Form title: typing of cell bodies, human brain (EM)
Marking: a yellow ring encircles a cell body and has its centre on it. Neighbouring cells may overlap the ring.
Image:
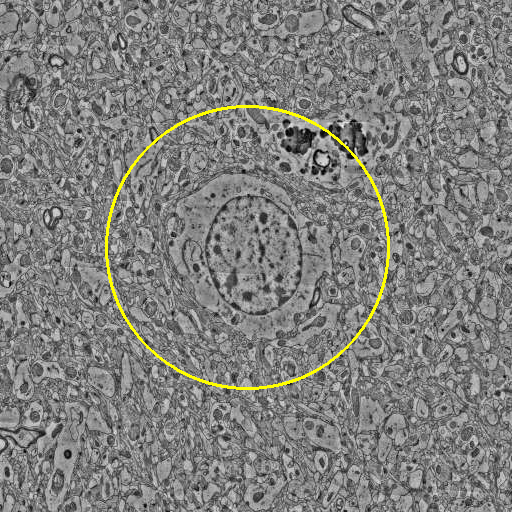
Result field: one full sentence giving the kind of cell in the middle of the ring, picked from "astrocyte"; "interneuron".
In the picture, the ring is centred on an astrocyte, whose cell body it encircles.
